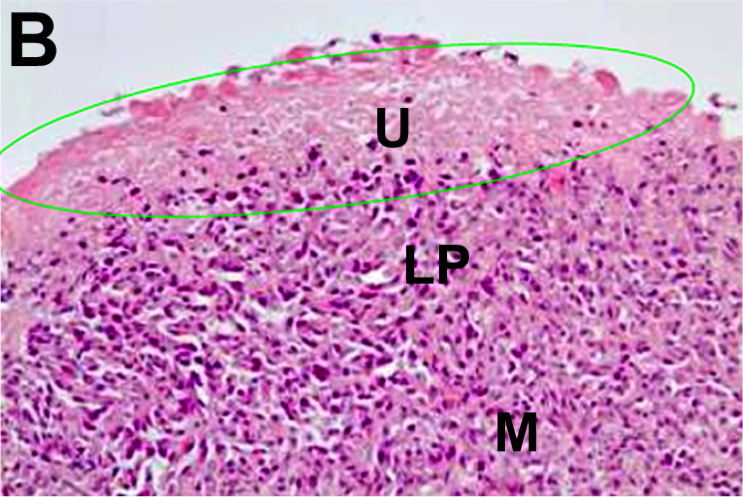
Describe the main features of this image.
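The surface zone is pale pink and washed-out, with a ragged, fragmented edge and only scattered small dark nuclei. Beneath it the tissue is crowded with cells bearing dark purple, elongated to irregular nuclei set in pink cytoplasm, packed closely without clear layering. Deeper down, the cells take on a more spindle-shaped, streaming arrangement.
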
